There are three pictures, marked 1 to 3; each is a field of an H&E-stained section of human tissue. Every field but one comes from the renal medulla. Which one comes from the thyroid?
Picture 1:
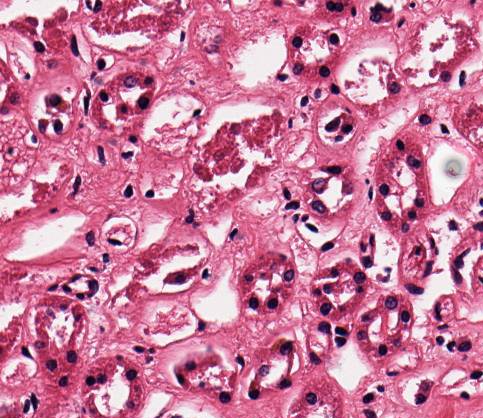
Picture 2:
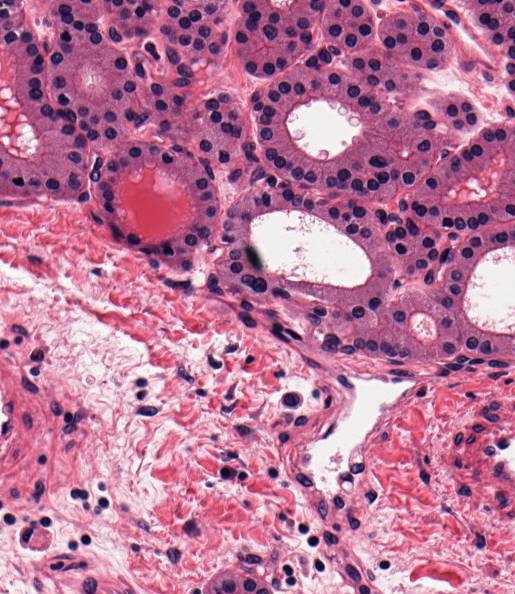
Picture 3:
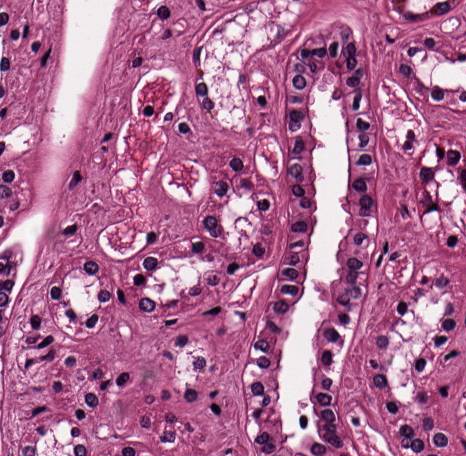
2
